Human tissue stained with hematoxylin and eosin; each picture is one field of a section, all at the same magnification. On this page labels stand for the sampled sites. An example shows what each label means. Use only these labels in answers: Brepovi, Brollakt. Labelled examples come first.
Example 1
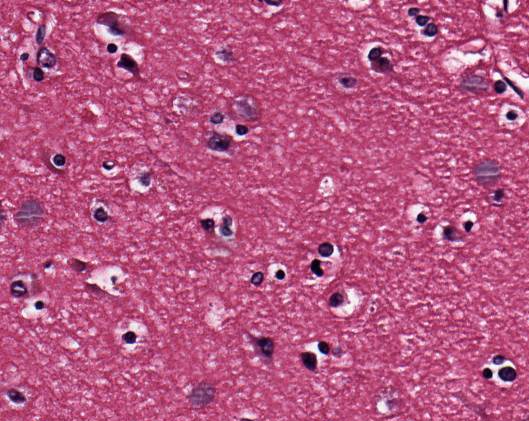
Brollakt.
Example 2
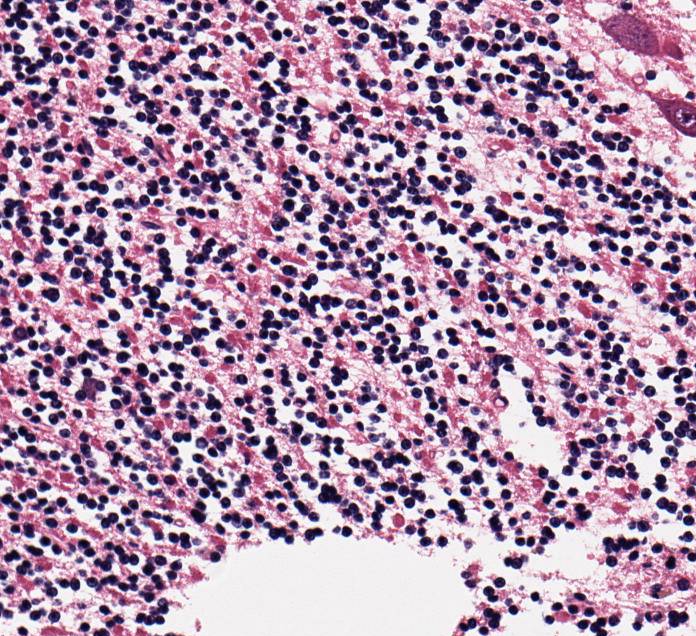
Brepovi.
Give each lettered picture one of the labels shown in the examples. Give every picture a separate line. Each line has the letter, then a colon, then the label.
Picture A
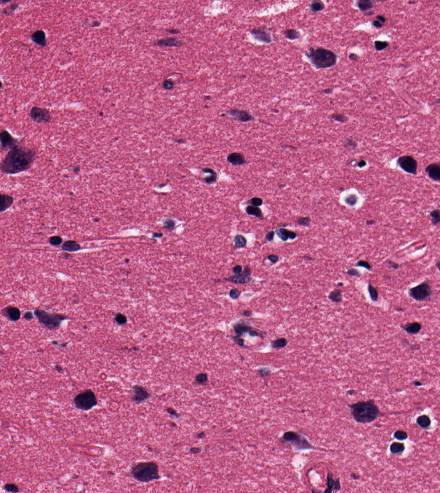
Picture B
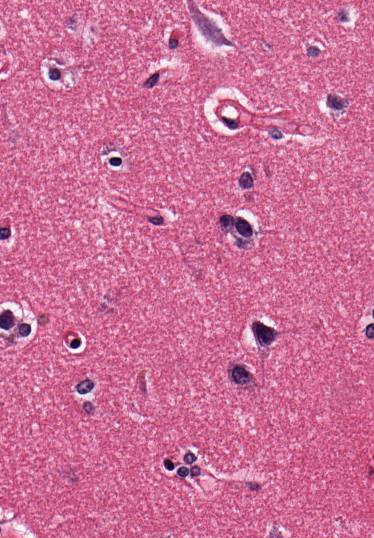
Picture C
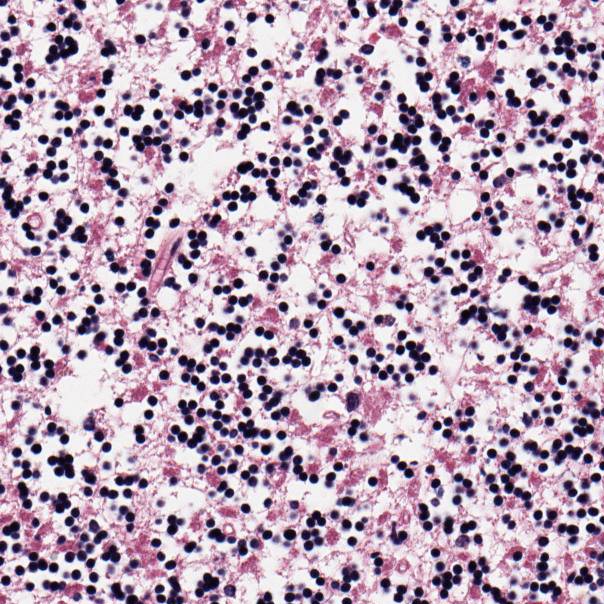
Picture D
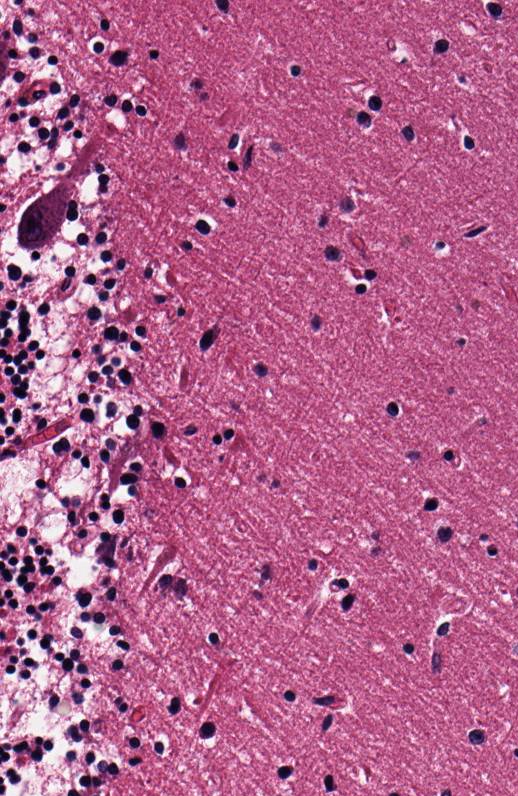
A: Brollakt.
B: Brollakt.
C: Brepovi.
D: Brepovi.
